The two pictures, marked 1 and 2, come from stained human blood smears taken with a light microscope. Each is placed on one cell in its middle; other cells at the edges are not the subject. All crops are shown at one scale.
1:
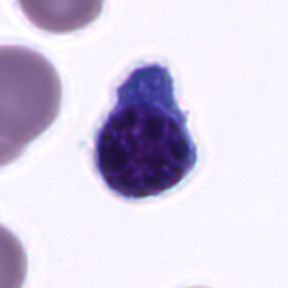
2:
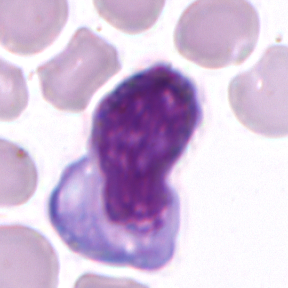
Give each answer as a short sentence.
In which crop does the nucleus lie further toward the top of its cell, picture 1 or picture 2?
Seen within its cell, the nucleus in picture 2 lies further toward the top.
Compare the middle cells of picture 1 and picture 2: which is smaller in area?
Smaller is the cell in picture 1, and the other is about 2 times as large in area.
